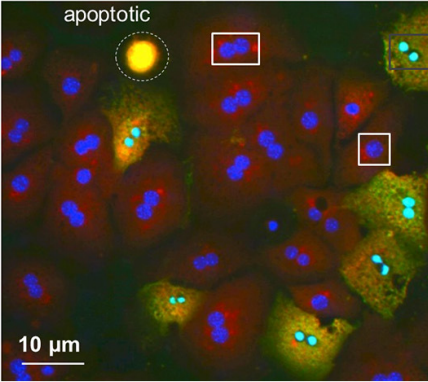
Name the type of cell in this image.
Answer: hepatocytes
